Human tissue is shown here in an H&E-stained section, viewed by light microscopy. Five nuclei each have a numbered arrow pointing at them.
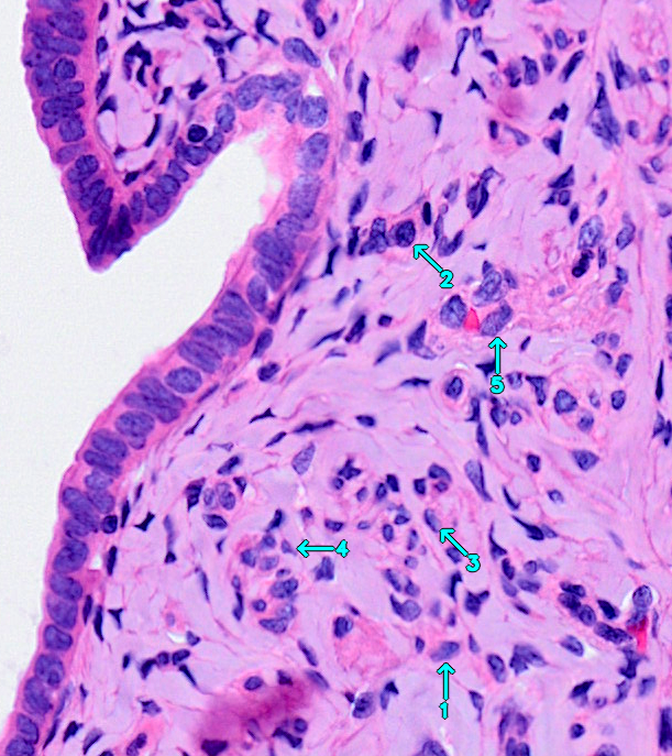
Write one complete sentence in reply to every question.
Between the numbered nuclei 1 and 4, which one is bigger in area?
The larger nucleus is 1, at roughly 4 times the area of 4.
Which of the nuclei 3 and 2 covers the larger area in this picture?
Number 2 is larger; its area is about 2 times that of number 3.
